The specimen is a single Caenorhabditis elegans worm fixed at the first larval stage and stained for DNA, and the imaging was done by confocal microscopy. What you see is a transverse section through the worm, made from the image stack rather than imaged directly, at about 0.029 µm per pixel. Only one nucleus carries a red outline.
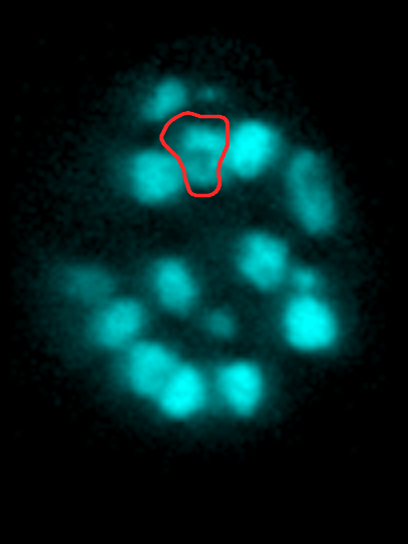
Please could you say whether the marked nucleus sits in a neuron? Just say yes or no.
no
